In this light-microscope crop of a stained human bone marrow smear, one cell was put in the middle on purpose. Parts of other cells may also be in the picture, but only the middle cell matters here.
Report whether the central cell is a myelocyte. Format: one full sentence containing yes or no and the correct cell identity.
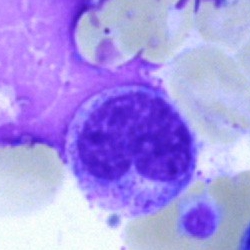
No, at the middle of the crop is a metamyelocyte, not a myelocyte.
